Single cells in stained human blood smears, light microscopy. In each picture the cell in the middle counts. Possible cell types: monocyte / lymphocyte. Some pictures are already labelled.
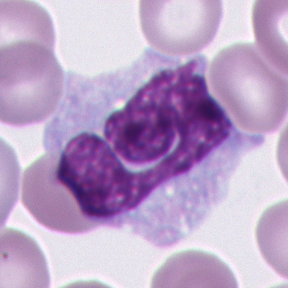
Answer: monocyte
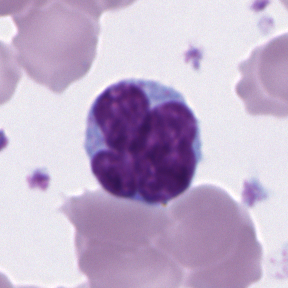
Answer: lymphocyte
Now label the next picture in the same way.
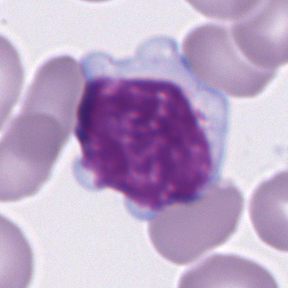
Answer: lymphocyte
